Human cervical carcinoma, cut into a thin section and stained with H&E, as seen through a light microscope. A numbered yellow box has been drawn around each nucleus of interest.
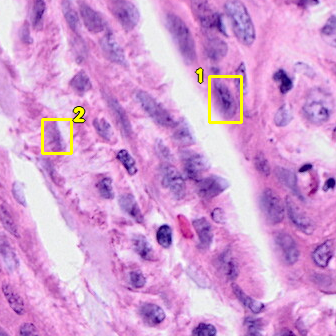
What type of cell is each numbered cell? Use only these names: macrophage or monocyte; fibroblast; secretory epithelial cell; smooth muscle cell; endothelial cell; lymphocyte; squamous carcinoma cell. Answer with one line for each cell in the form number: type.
1: squamous carcinoma cell
2: fibroblast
